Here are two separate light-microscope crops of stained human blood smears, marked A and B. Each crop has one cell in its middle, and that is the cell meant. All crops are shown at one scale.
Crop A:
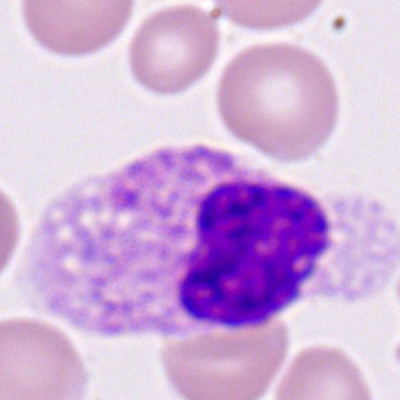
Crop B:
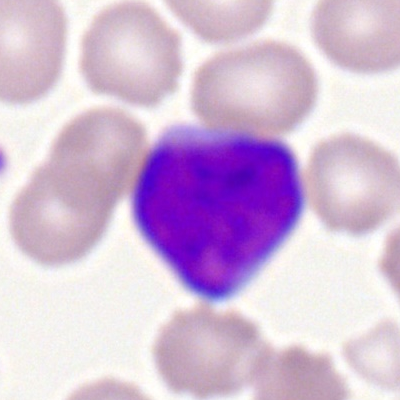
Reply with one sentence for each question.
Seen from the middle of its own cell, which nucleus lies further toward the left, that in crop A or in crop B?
It is the nucleus in crop B that lies further toward the left of its cell.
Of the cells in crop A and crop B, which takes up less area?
Crop B holds the smaller cell, since the cell in crop A covers about 1.5 times as much area.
